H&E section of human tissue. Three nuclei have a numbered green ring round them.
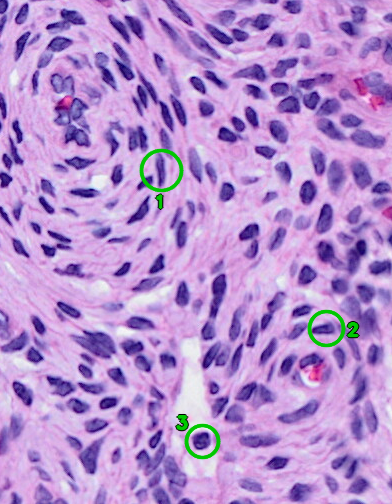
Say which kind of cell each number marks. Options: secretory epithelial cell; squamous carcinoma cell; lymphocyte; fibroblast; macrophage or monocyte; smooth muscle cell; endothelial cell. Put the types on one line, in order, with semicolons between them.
fibroblast; fibroblast; lymphocyte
